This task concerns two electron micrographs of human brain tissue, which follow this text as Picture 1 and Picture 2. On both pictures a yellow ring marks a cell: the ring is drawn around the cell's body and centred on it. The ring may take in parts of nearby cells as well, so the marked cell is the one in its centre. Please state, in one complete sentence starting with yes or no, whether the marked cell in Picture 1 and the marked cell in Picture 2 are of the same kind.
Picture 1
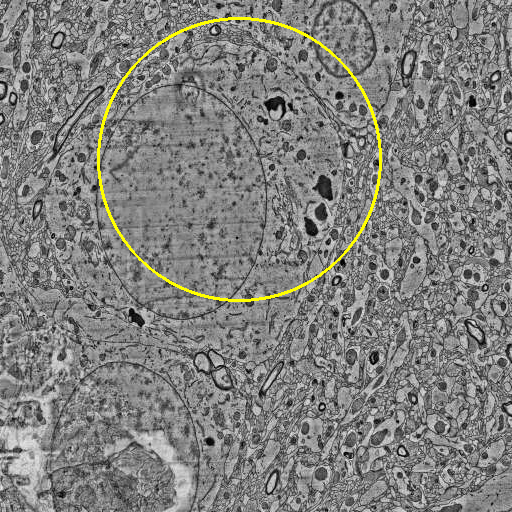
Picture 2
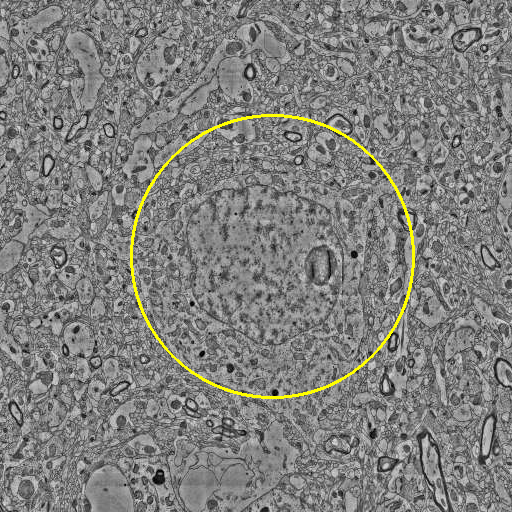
No, the marked cells in the two pictures are of two kinds.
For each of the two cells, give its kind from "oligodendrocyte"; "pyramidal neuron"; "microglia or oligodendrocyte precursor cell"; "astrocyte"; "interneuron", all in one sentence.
The first picture has a pyramidal neuron in its ring, the second has an interneuron.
